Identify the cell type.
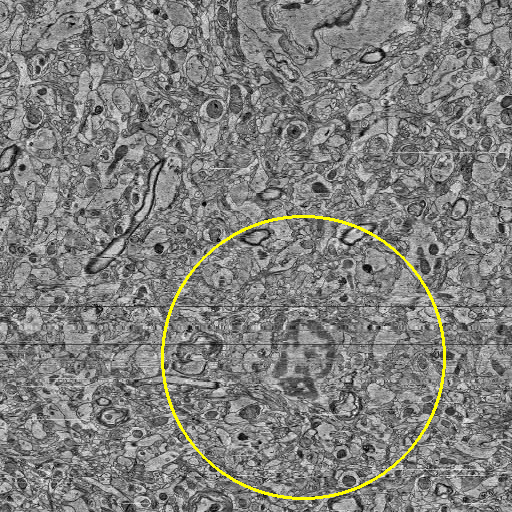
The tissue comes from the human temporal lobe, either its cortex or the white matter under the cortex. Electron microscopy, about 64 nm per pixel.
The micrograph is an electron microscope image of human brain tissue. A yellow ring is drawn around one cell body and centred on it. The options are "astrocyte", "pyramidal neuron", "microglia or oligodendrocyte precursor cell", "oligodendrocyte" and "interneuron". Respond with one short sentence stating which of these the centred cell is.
The cell body in the ring belongs to a microglial cell or oligodendrocyte precursor cell.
